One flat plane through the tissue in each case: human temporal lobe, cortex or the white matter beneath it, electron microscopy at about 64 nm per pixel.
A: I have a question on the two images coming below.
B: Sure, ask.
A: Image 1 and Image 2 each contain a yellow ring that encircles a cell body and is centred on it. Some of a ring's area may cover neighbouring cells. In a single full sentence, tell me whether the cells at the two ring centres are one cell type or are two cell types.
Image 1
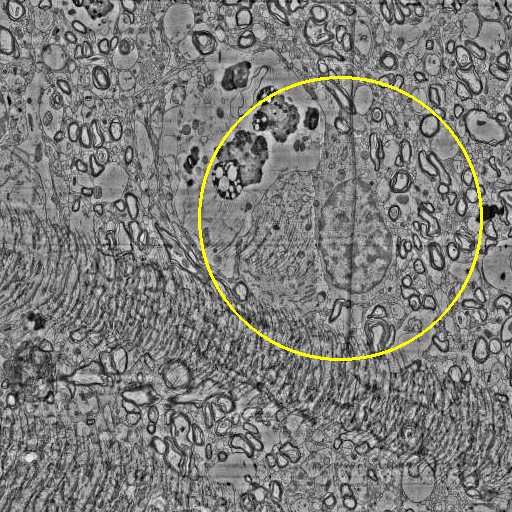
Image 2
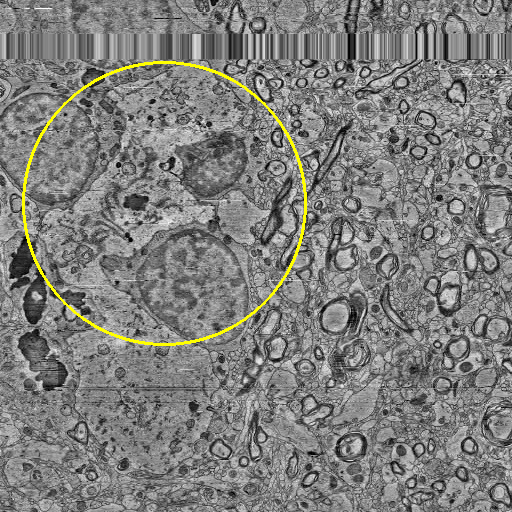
As for the ring-centre cells, the one in Image 1 and the one in Image 2 are one cell type.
